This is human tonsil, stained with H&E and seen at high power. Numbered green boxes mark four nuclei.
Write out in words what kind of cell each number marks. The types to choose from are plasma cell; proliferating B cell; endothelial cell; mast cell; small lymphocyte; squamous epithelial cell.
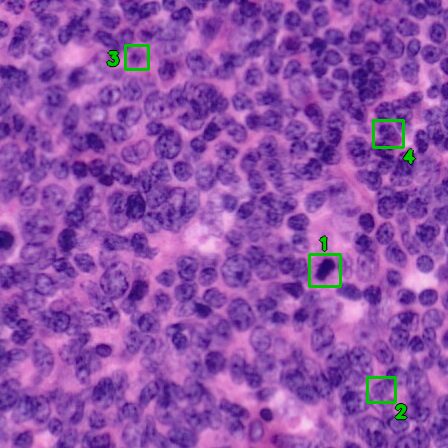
Cell 1 is a proliferating B cell, cell 2 is a proliferating B cell, cell 3 is a proliferating B cell and cell 4 is a small lymphocyte.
